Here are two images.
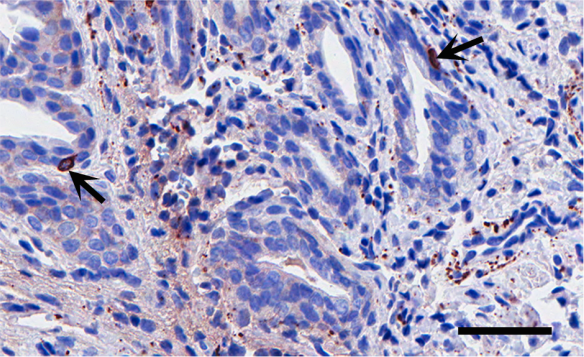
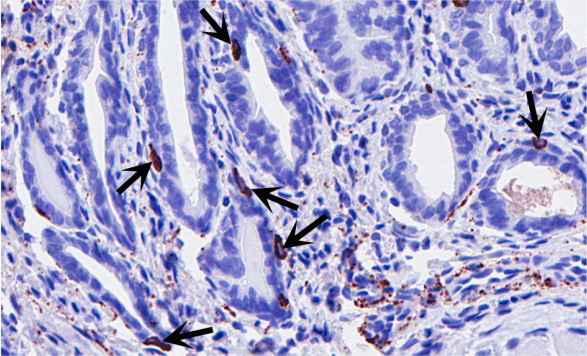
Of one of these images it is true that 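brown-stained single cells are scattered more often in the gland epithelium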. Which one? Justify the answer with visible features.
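The second image. First image: only two brown-stained cells, marked by arrows.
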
